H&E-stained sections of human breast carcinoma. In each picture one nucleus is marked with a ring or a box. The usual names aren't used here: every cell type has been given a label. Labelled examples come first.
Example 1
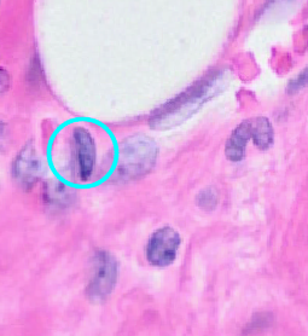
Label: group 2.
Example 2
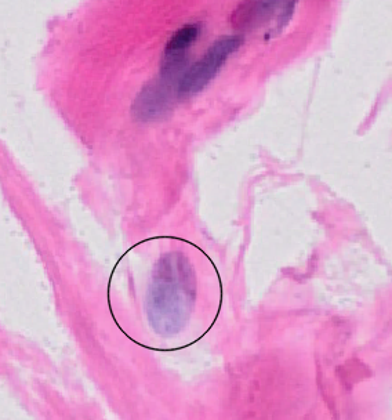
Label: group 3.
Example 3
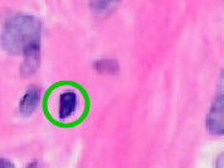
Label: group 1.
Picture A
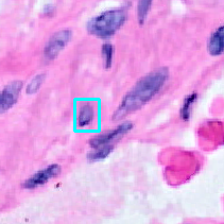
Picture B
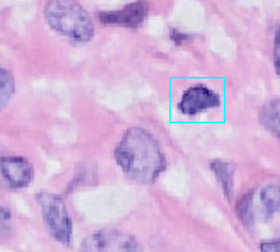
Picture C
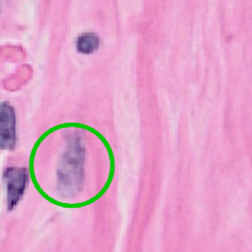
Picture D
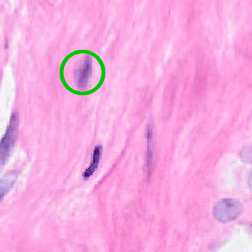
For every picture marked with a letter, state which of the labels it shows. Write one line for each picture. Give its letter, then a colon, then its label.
A: group 2.
B: group 1.
C: group 3.
D: group 3.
